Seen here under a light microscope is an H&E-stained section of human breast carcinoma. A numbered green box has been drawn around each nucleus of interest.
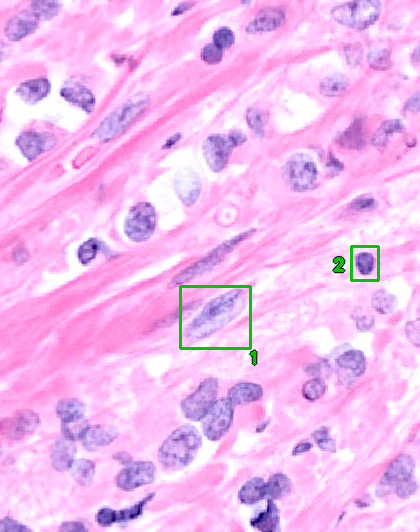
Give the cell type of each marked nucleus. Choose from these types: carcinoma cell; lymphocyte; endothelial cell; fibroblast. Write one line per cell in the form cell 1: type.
cell 1: fibroblast
cell 2: lymphocyte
